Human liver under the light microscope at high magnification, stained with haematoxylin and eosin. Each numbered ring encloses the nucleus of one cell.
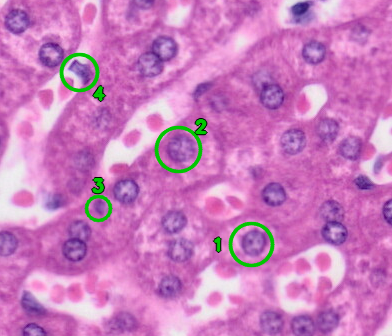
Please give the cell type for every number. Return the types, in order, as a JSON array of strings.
["hepatocyte", "hepatocyte", "fibroblast or stellate cell", "endothelial cell"]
